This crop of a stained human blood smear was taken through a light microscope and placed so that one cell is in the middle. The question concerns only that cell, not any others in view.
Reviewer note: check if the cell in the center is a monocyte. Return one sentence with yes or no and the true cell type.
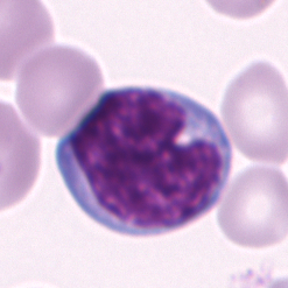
No, the middle cell is not a monocyte, it being a large granular lymphocyte.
